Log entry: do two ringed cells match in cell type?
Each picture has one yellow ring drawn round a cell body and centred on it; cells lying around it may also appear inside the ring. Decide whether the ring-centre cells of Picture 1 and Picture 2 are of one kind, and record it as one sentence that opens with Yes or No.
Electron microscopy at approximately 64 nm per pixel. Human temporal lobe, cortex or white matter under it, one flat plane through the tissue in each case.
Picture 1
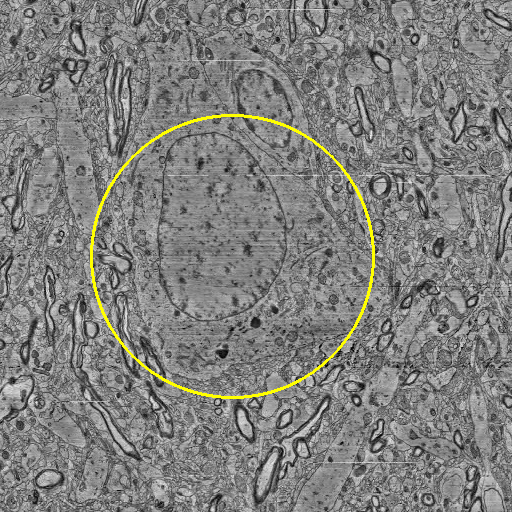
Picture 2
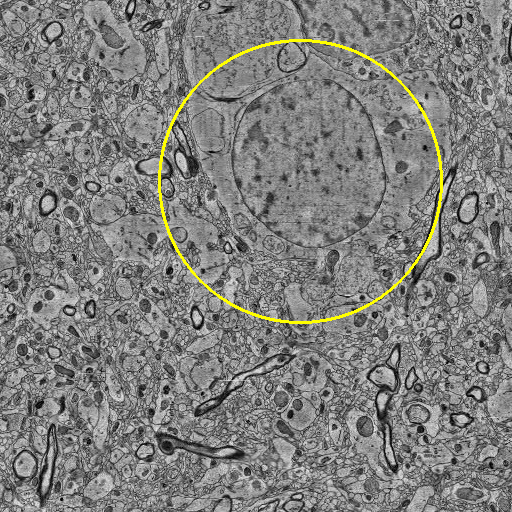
No, the cells at the ring centres of the two pictures belong to two kinds.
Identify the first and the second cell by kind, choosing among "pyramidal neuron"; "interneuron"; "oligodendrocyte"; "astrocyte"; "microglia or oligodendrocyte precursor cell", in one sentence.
The one in the first picture is a pyramidal neuron, while the one in the second is an astrocyte.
